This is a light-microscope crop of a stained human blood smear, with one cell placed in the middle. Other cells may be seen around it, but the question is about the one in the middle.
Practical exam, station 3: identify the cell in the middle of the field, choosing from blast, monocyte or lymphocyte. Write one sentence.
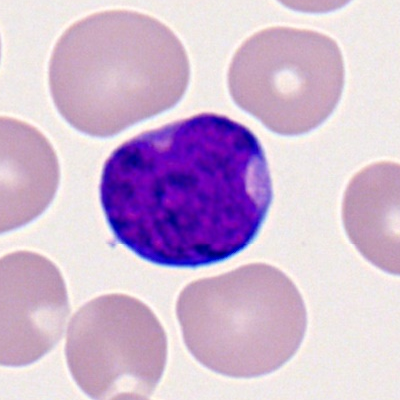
What the crop centres on is a blast.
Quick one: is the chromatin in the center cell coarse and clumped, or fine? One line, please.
The chromatin within its nucleus forms coarse clumps.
